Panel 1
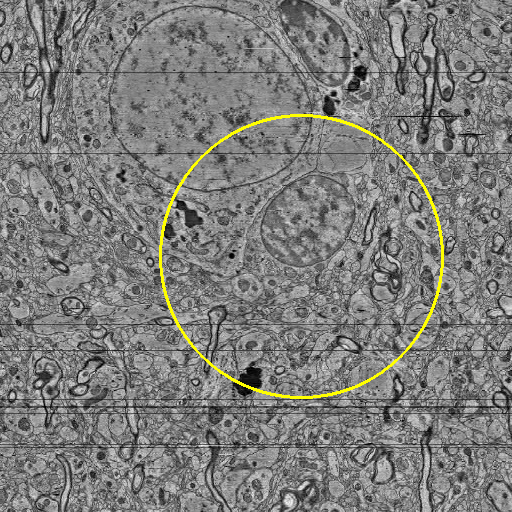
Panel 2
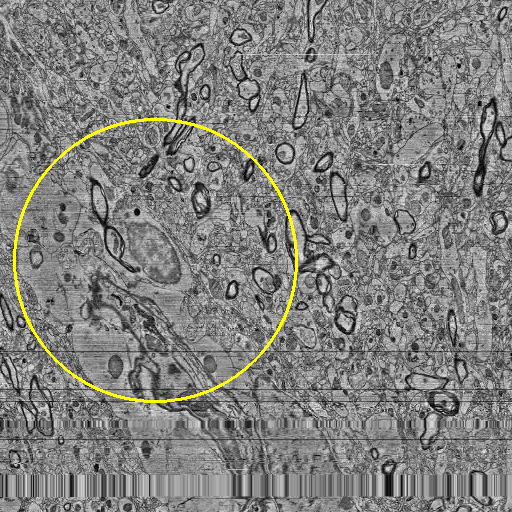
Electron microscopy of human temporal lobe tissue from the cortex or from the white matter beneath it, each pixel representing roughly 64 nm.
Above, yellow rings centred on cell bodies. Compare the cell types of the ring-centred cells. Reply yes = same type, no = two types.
yes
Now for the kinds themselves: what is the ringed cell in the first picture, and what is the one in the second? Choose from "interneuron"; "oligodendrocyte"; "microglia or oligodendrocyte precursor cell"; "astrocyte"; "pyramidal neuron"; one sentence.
The cell in the first picture is an oligodendrocyte, and so is the one in the second.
